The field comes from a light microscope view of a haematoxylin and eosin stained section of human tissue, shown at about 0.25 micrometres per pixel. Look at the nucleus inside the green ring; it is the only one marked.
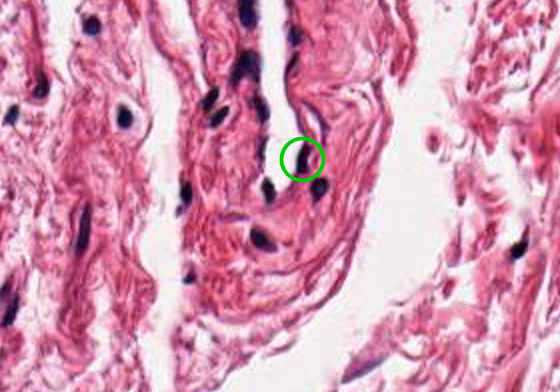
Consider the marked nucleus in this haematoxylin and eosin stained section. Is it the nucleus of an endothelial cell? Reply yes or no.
yes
